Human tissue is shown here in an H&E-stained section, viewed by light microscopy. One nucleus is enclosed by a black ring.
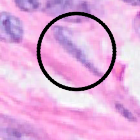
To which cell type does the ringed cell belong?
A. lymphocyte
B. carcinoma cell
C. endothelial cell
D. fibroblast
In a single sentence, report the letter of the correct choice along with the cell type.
It is option C that is correct, the ringed cell being an endothelial cell.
